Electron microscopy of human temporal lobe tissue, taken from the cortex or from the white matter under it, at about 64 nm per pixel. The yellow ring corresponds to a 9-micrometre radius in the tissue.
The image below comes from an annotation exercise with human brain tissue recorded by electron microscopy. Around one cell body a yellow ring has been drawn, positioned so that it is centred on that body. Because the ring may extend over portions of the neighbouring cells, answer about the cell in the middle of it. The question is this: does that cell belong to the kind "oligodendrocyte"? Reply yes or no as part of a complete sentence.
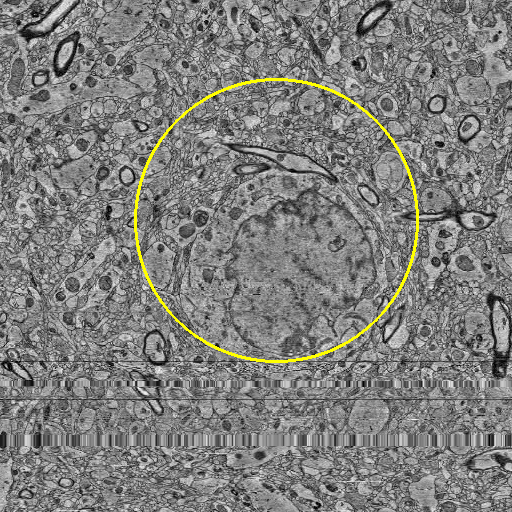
No, in the image the cell in the middle of the ring is of another kind.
